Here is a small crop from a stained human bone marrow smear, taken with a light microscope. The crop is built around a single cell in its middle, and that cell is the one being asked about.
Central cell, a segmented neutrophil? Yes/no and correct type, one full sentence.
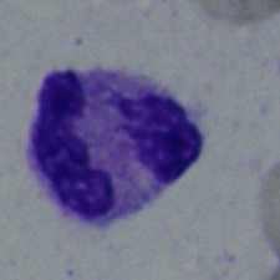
Yes, the one cell at the centre is a segmented neutrophil.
